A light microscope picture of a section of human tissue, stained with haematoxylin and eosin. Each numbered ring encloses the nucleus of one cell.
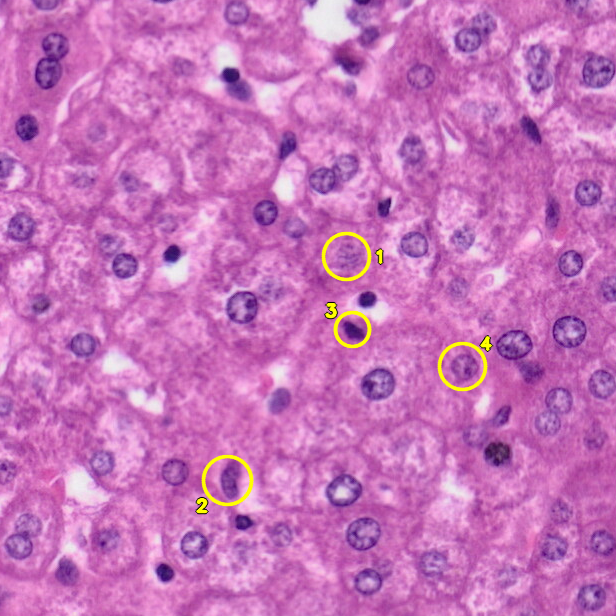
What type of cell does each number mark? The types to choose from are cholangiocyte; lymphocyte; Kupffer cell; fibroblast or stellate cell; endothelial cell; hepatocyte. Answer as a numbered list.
1. hepatocyte
2. Kupffer cell
3. fibroblast or stellate cell
4. hepatocyte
